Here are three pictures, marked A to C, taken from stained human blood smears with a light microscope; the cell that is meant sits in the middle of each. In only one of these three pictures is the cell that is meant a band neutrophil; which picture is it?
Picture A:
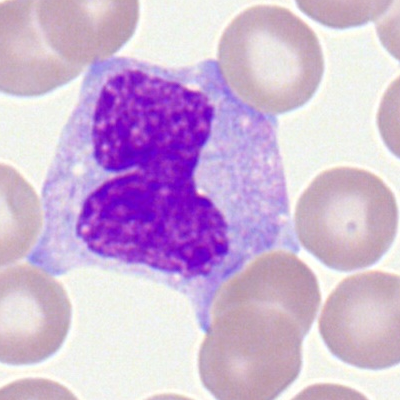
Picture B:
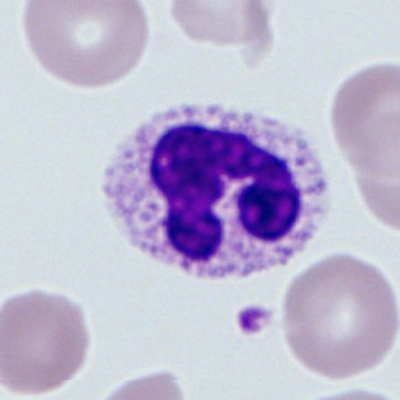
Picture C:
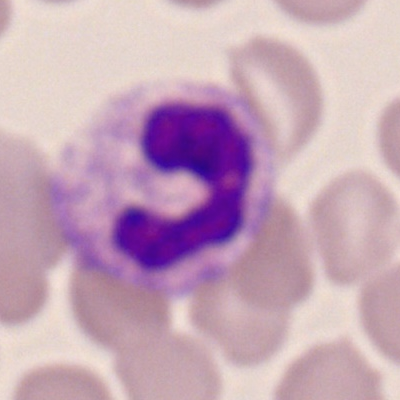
C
